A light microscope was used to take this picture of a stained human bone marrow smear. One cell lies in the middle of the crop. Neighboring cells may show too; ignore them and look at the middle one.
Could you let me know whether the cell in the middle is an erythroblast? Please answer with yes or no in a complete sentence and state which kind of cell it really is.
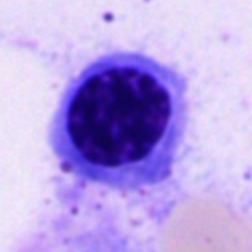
Yes, the cell at the middle of the field is to be classed as an erythroblast.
